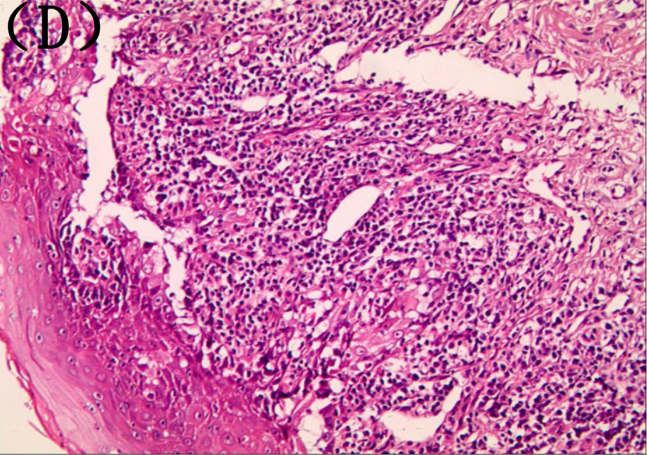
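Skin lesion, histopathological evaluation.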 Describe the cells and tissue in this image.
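This higher-power view shows the edge of the epidermis on the left with the superficial dermis beside it, heavily infiltrated by inflammatory cells. The cells crowd between thin pink collagen strands and around small open vascular spaces.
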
